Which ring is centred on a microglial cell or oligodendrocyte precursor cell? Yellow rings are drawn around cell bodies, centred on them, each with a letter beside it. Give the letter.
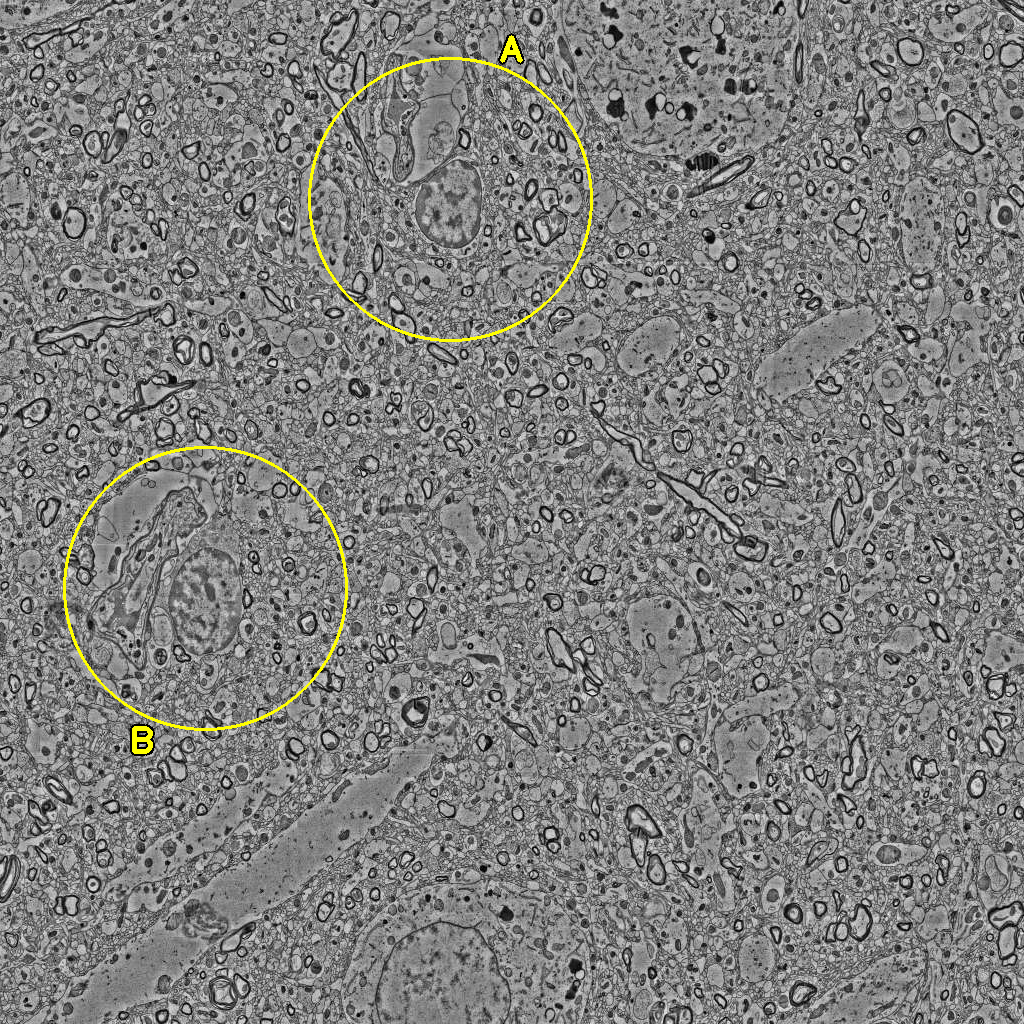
A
